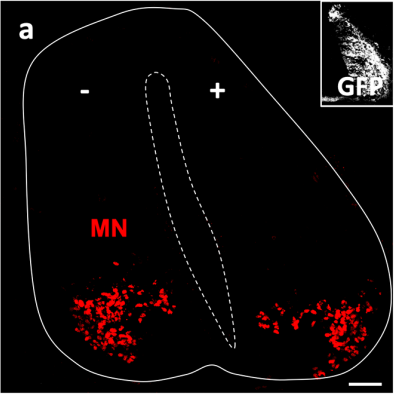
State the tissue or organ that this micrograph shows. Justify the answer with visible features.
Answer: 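Clusters of labelled cells sit in the ventral part on both sides. On this evidence: spinal cord.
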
